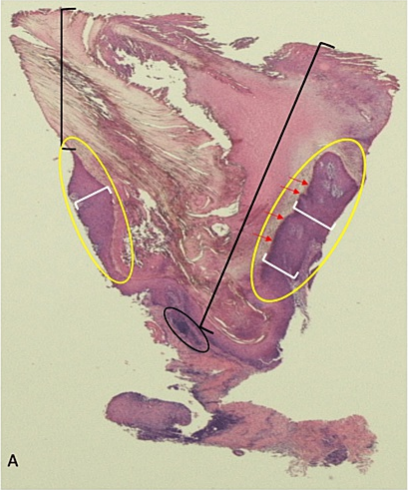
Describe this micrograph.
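Low-power view of skin showing a markedly thickened epidermis with massive hyperkeratosis. A very thick, pale pink, laminated cornified layer forms most of the specimen and overlies the purple nucleated epithelium. A dense dark blue cluster of small inflammatory cells lies in the upper dermis beneath the epithelium. Individual cells cannot be resolved at this magnification; only the tissue architecture is evident.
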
